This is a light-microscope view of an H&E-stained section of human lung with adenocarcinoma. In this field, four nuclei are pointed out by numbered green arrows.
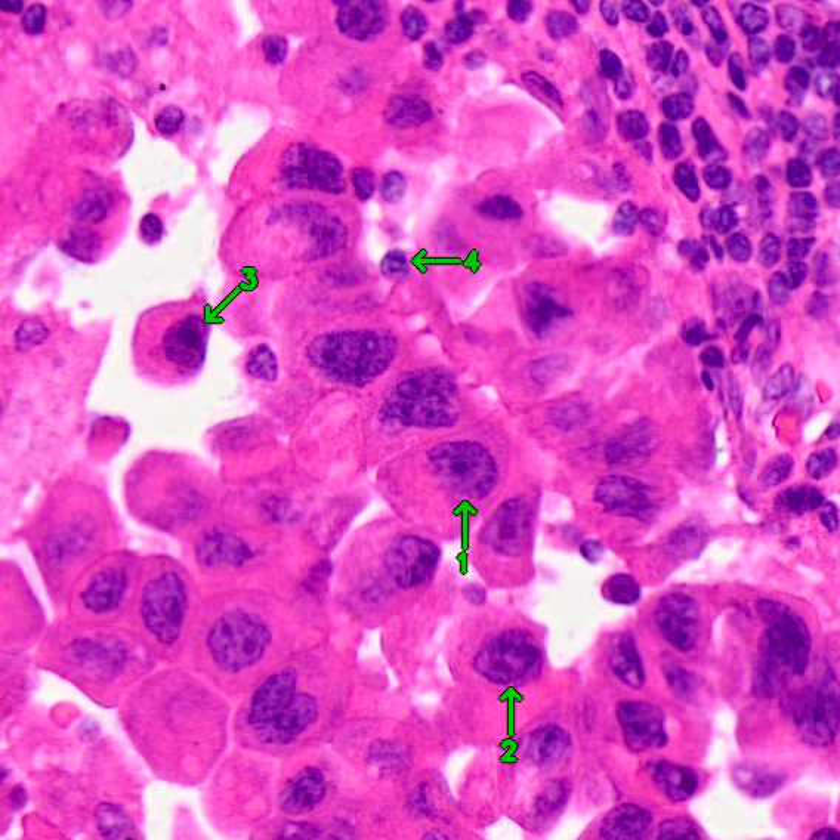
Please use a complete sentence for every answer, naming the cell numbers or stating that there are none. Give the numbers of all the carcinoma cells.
Cells 1, 2 and 3 share one type; they are carcinoma cells.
